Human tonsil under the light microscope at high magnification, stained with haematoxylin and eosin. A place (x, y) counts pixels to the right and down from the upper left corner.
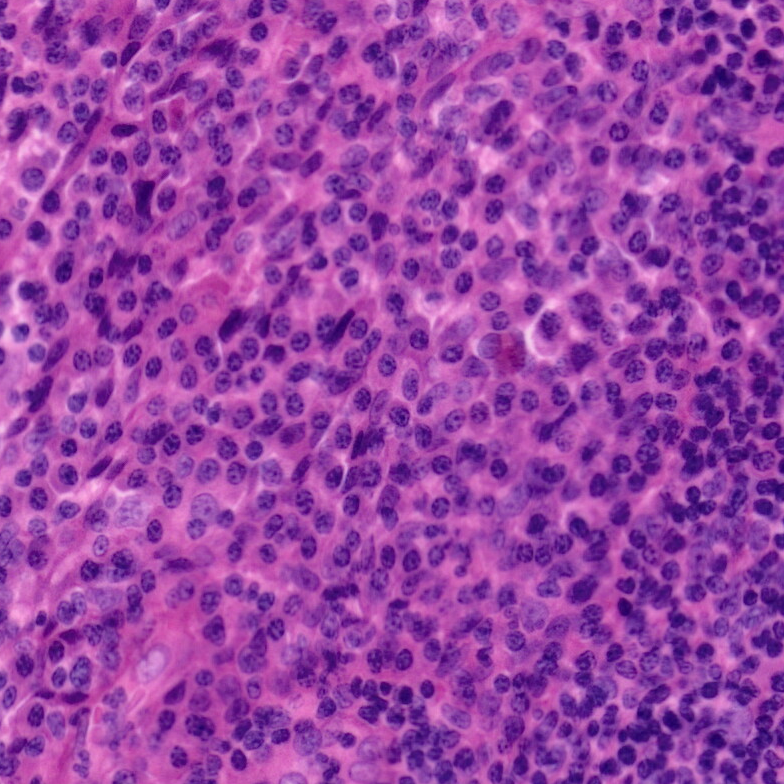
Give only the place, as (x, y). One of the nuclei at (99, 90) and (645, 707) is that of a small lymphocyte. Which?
(645, 707)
